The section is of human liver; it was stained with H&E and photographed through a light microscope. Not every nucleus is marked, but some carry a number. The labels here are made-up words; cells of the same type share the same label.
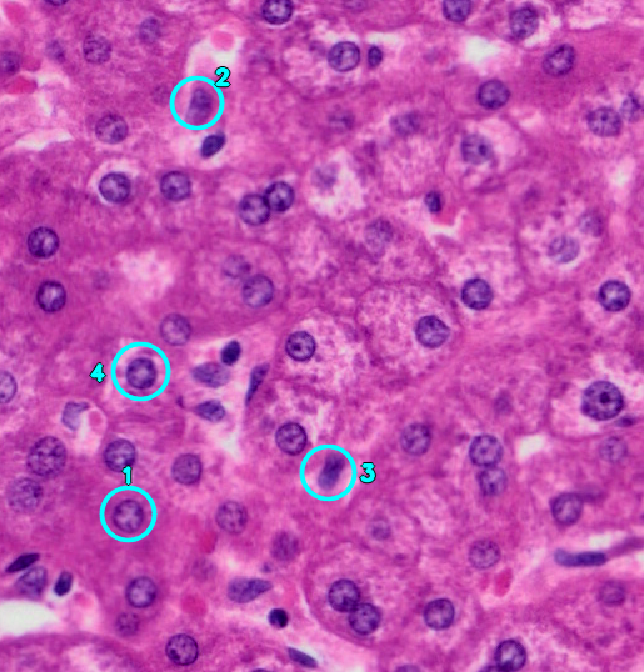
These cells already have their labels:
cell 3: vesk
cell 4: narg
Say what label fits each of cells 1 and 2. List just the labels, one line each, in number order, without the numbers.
narg
vesk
